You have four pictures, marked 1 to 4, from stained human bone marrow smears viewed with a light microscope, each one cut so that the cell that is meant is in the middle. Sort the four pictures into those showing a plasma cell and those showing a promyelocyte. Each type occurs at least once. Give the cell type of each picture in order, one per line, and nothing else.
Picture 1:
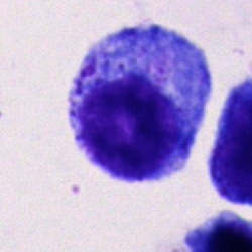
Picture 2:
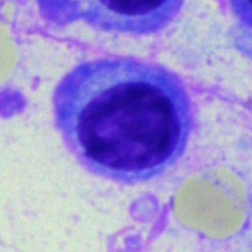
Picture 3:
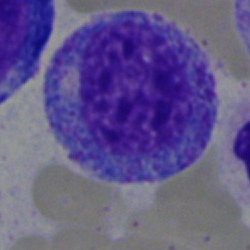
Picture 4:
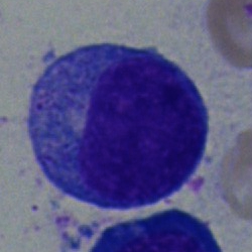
promyelocyte
plasma cell
promyelocyte
promyelocyte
